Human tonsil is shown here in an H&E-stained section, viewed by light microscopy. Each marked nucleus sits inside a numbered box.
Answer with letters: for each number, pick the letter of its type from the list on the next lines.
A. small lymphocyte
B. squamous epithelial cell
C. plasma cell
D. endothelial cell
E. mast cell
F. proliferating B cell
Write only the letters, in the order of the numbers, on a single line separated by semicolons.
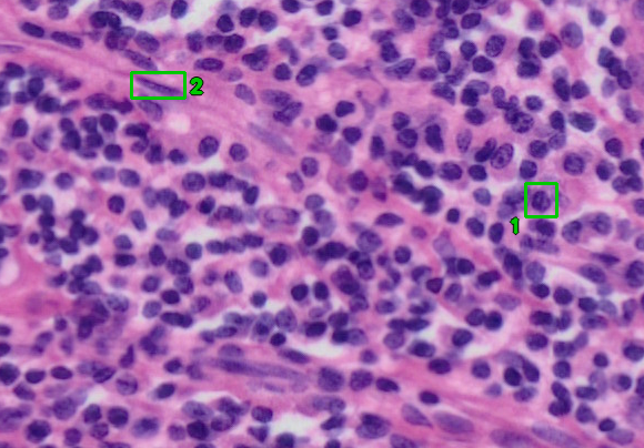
C; D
